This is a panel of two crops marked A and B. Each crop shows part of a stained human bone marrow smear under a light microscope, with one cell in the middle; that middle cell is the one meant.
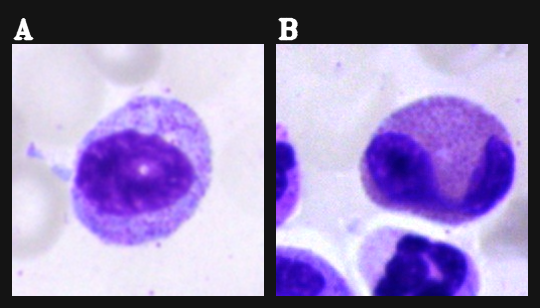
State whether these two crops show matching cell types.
no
